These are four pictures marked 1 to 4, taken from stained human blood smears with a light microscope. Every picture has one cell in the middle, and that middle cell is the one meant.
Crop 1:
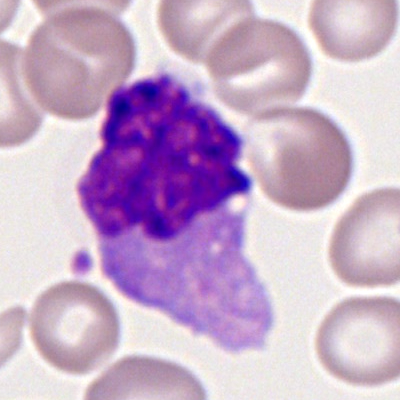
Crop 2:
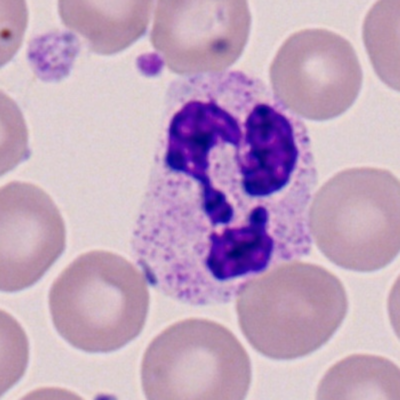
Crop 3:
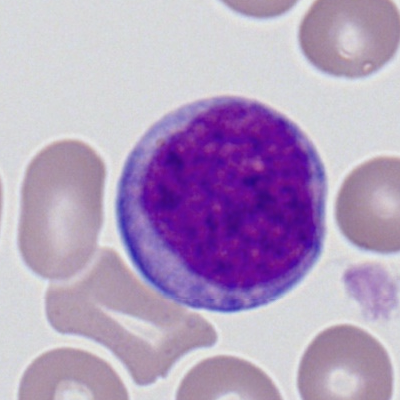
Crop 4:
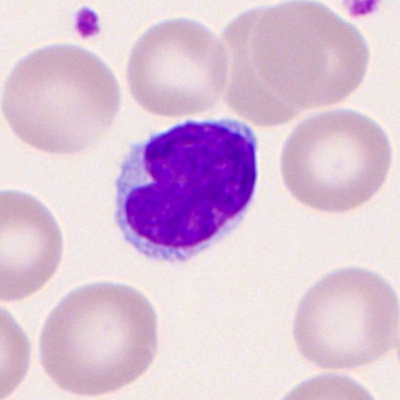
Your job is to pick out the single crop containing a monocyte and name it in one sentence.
Here the crop that shows a monocyte is crop 1.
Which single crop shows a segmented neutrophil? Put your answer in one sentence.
The crop bearing a segmented neutrophil is crop 2.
